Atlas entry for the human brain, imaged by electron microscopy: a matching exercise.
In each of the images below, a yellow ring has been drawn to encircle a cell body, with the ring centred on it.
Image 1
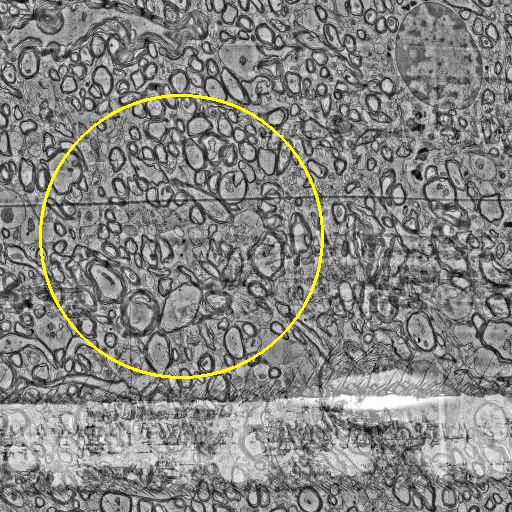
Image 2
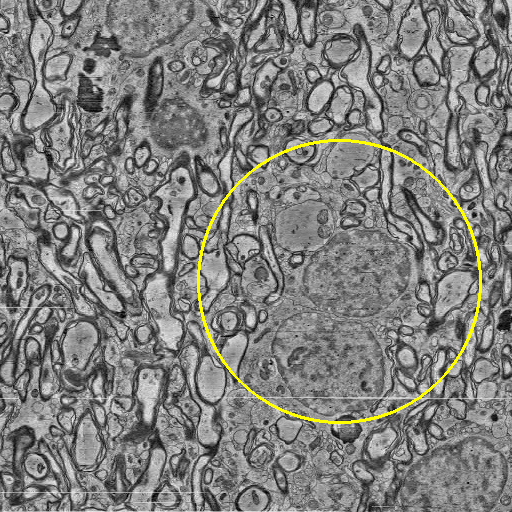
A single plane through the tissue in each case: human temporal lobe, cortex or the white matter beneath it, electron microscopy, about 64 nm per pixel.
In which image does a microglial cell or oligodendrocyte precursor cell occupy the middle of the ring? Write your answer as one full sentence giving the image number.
In image 1, the ring is centred on the cell in question.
